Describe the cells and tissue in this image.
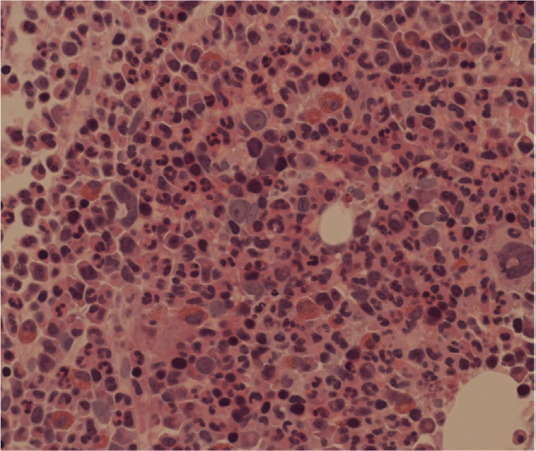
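A tightly packed sheet of bone marrow cells of many sizes fills the field, most with round to indented dark purple nuclei and a rim of pink to lilac cytoplasm. Among them lie scattered very large cells with abundant pink cytoplasm and big, irregularly folded nuclei. A few round clear empty spaces break up the cellular sheet, one large one in the lower right corner. The varied mixture of smaller cells at different sizes and nuclear shapes fits a marrow in which the neutrophil line is maturing normally.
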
